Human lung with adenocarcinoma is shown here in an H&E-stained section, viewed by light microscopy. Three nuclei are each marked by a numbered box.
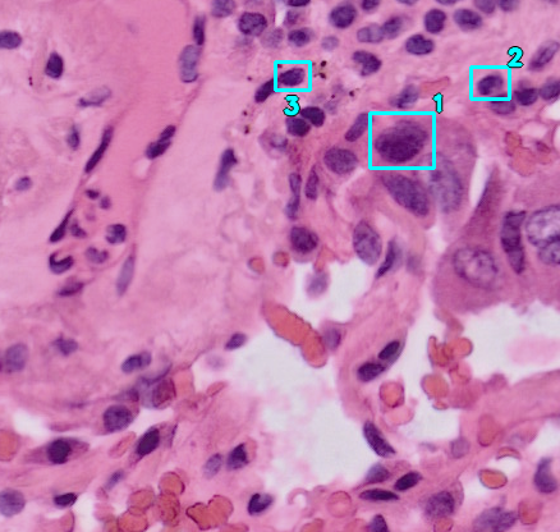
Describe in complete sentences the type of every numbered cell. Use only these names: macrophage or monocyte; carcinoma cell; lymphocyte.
Cell 1 is a carcinoma cell. Cells 2 and 3 are lymphocytes.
